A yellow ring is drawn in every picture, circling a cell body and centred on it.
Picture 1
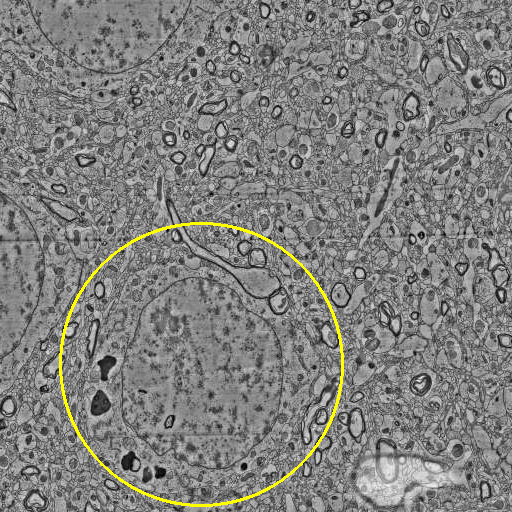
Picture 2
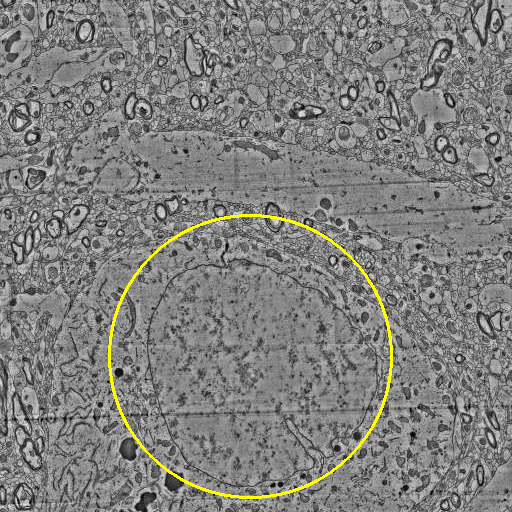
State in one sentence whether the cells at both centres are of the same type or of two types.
The cells at the two ring centres, one per picture, are of the same type.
